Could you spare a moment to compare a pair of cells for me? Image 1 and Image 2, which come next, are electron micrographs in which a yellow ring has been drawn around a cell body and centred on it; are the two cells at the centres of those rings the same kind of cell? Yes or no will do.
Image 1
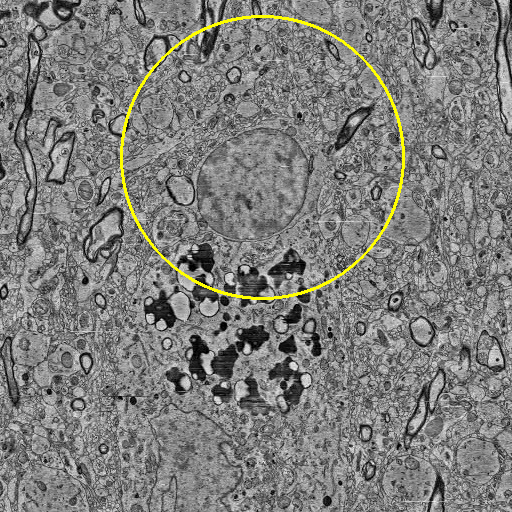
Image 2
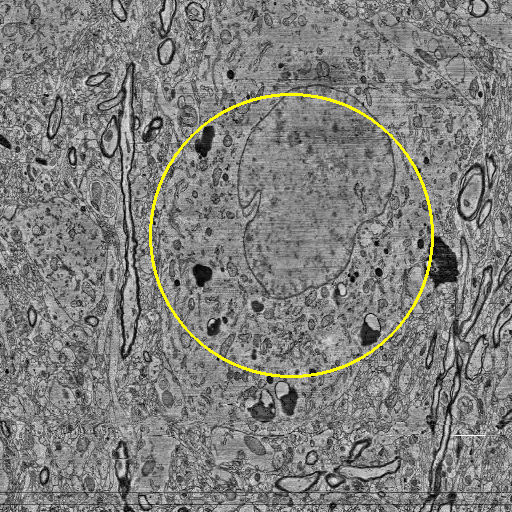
no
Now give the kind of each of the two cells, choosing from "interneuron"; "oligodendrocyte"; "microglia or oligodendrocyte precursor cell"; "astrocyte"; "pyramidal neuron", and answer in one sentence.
The cell in the first picture is an oligodendrocyte, and the cell in the second is a pyramidal neuron.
